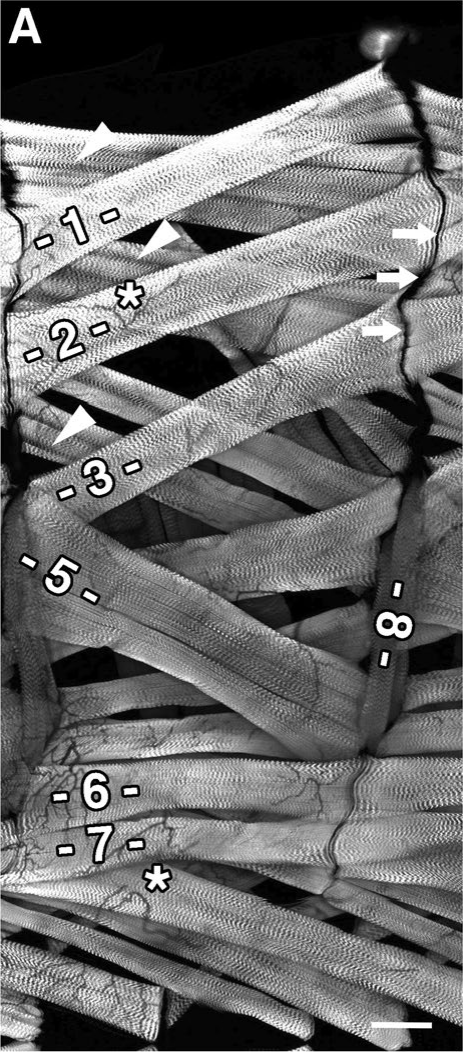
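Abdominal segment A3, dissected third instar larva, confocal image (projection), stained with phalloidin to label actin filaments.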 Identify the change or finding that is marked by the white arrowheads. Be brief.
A: "splitting" of muscle fibres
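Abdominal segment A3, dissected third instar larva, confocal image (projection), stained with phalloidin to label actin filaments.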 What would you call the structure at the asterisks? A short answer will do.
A: tracheal branches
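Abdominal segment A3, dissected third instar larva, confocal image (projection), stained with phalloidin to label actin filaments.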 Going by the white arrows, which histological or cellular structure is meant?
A: posterior muscle attachment sites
